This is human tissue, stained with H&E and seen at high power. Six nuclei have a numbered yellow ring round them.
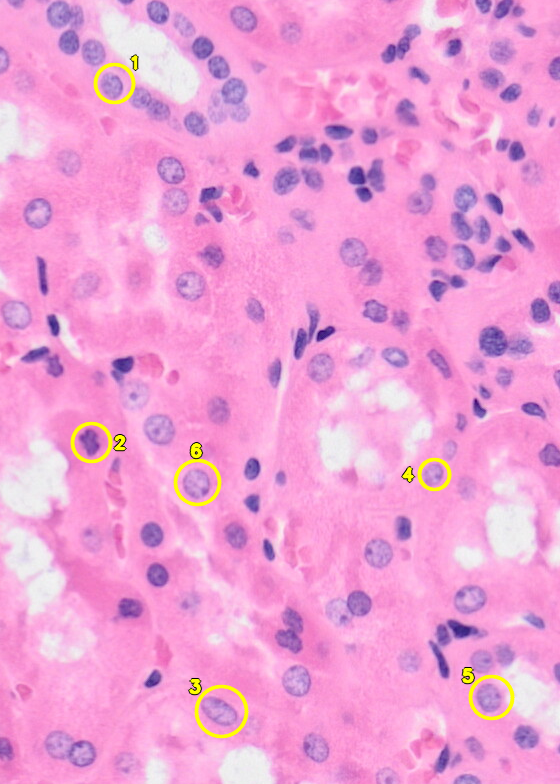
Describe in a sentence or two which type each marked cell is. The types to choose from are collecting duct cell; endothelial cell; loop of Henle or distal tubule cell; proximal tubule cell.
Cell 1 is a collecting duct cell. Cells 2, 3, 4 and 6 are proximal tubule cells. Cell 5 is a loop of Henle or distal tubule cell.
